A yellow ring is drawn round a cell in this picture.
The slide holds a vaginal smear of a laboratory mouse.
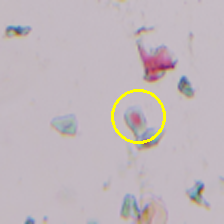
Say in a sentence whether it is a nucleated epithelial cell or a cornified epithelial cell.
The cell in the ring is a nucleated epithelial cell.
